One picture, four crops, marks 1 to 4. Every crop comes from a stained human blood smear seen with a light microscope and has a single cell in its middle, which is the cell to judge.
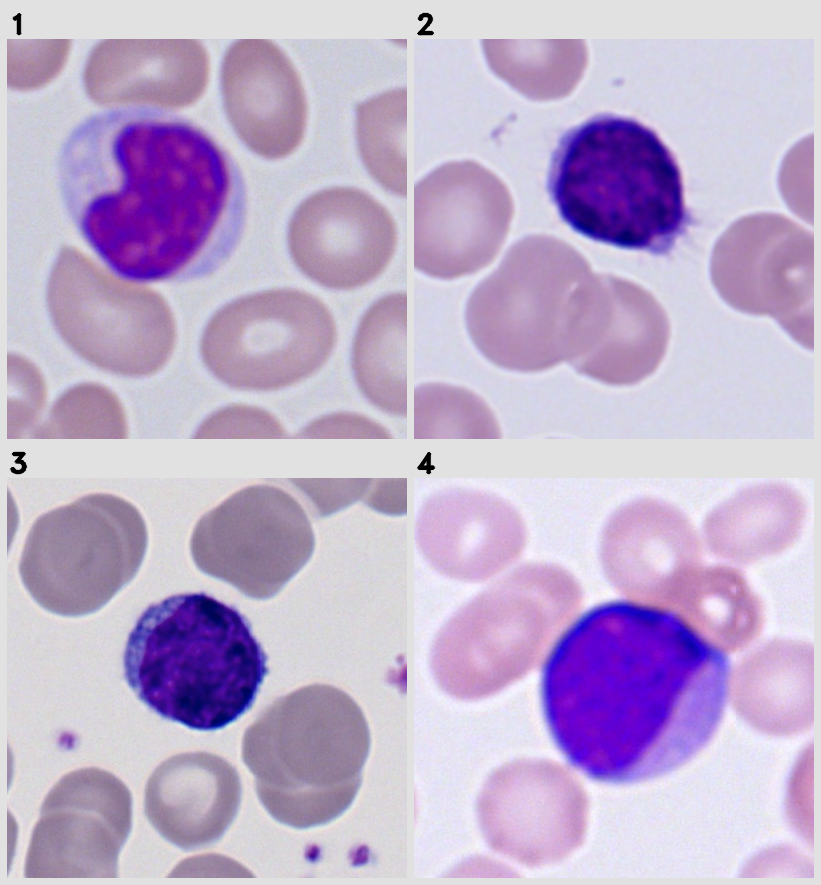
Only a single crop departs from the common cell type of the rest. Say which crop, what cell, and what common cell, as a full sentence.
Crop 4 alone is a myeloblast, and the other crops are all lymphocytes.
